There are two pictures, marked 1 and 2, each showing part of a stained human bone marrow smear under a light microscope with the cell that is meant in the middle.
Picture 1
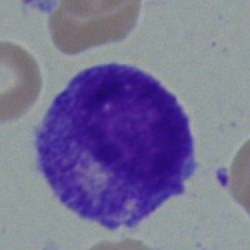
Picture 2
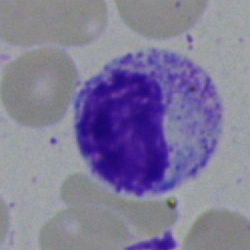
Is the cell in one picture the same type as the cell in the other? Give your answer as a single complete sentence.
Yes, both are myelocytes.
